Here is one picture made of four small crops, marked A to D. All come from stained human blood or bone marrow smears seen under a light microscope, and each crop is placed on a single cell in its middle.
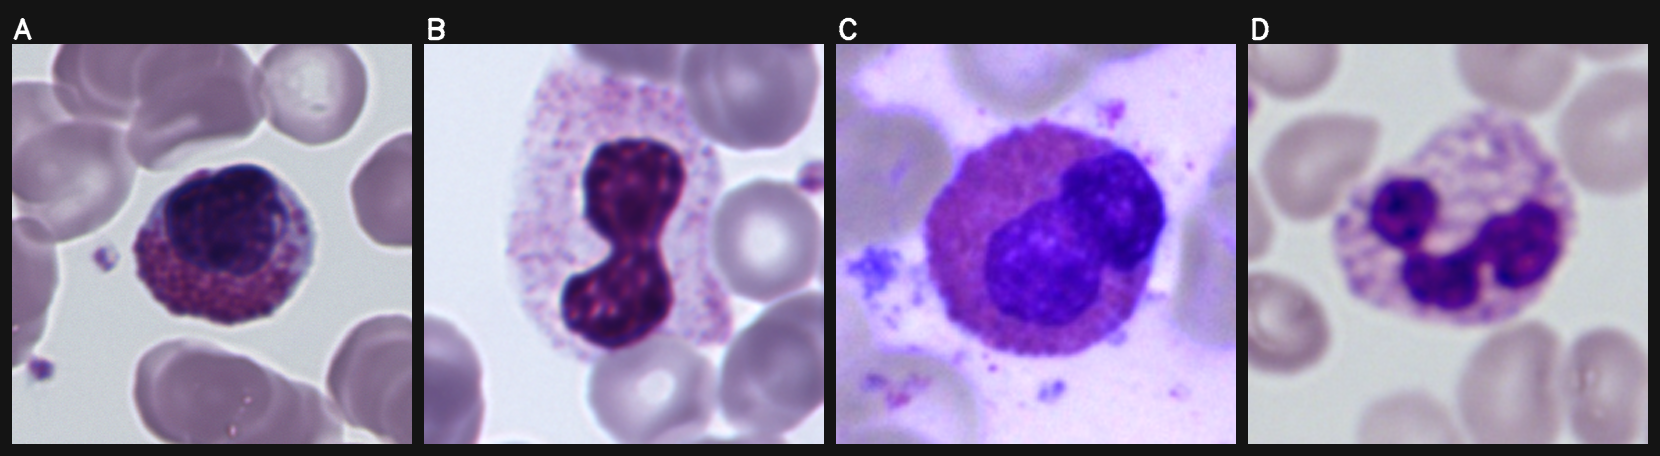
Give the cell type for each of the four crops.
A: eosinophil
B: band neutrophil
C: eosinophil
D: segmented neutrophil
